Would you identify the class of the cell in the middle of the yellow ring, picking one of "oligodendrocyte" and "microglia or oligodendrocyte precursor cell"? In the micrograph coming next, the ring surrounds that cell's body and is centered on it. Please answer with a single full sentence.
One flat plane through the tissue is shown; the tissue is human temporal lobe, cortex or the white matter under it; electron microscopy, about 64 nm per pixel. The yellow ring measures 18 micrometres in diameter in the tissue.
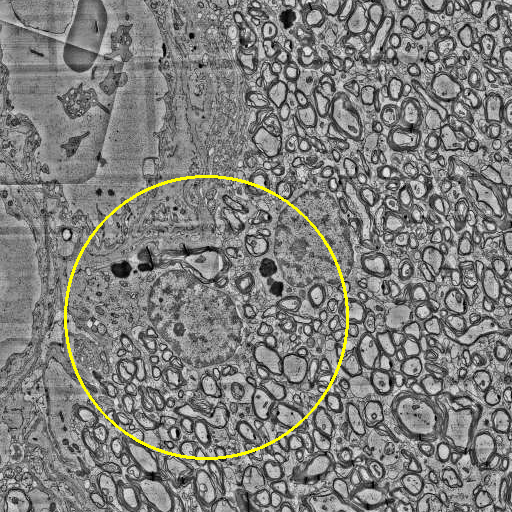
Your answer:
In the micrograph, it is an oligodendrocyte whose body lies at the ring's center.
